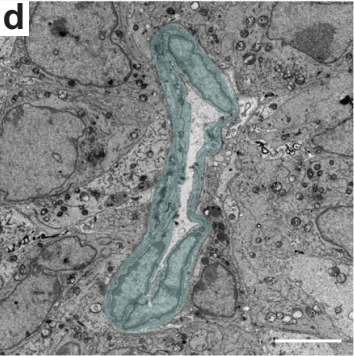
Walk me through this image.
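The cyan-shaded wall cells are relatively thick and fold inward, nearly closing the lumen. No blood cells are seen in the lumen. The vessel is surrounded by tightly packed cells with large, rounded nuclei and cytoplasm containing many small dark granules and vesicles.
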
